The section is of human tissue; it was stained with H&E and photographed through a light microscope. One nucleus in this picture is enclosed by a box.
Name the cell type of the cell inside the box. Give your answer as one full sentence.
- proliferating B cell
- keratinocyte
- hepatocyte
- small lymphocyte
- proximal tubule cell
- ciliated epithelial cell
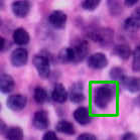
This is a proliferating B cell.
